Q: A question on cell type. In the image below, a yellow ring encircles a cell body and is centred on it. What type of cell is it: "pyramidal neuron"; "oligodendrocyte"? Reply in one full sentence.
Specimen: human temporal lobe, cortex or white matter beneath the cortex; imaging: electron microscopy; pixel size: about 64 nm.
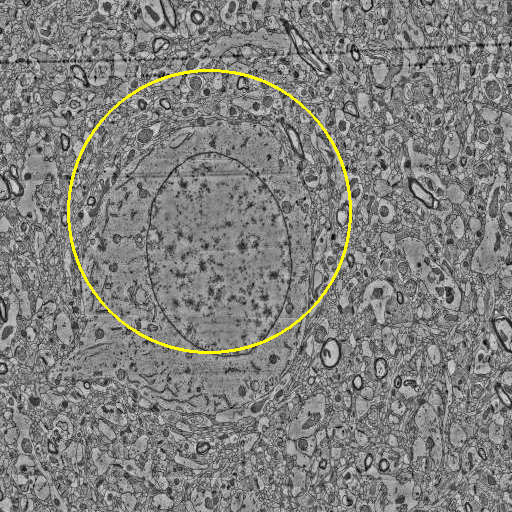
It is a pyramidal neuron whose cell body sits at the centre of the yellow ring in the image.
